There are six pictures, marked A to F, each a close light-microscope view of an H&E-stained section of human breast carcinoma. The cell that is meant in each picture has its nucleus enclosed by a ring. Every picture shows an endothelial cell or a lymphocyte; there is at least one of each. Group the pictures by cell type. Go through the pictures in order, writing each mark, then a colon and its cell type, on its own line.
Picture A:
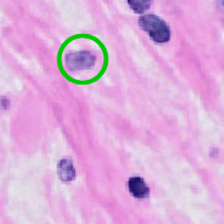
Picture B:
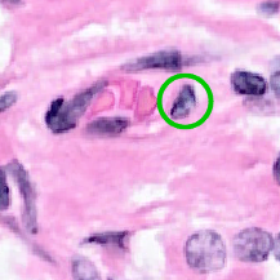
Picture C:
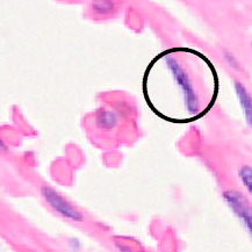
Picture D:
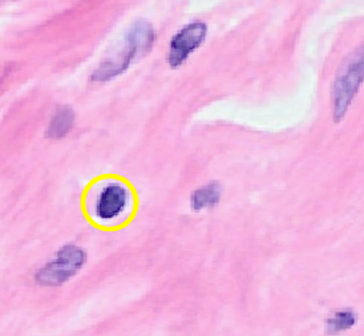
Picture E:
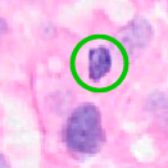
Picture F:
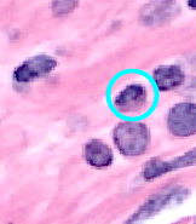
A: lymphocyte
B: endothelial cell
C: endothelial cell
D: lymphocyte
E: lymphocyte
F: lymphocyte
